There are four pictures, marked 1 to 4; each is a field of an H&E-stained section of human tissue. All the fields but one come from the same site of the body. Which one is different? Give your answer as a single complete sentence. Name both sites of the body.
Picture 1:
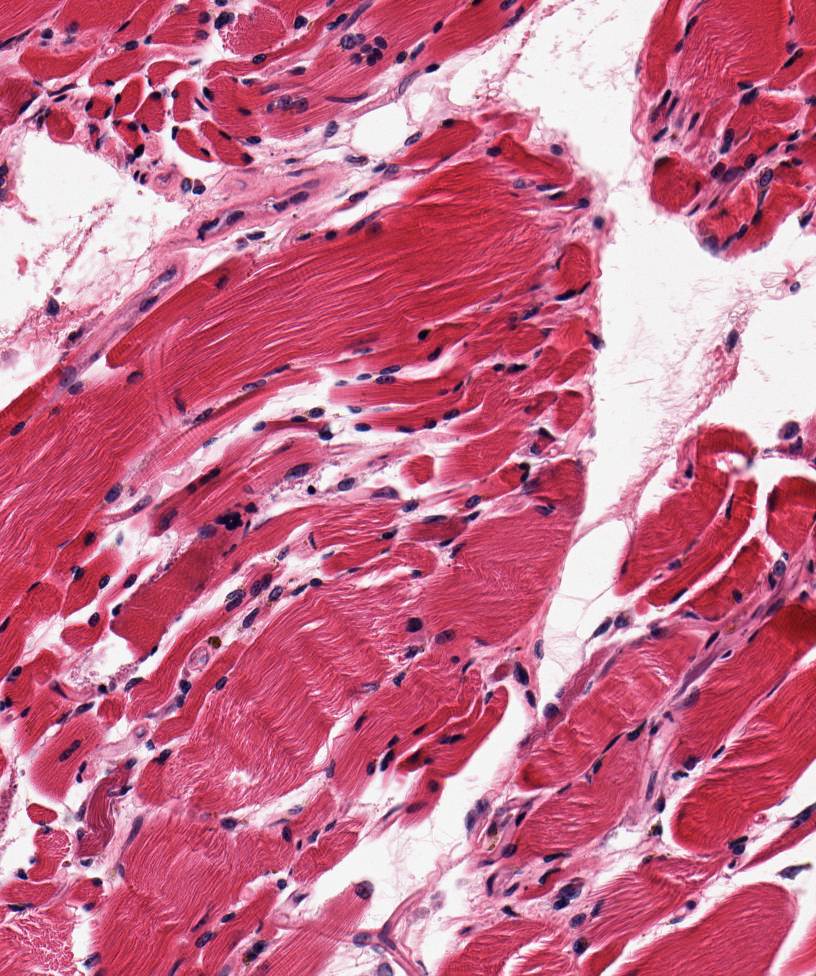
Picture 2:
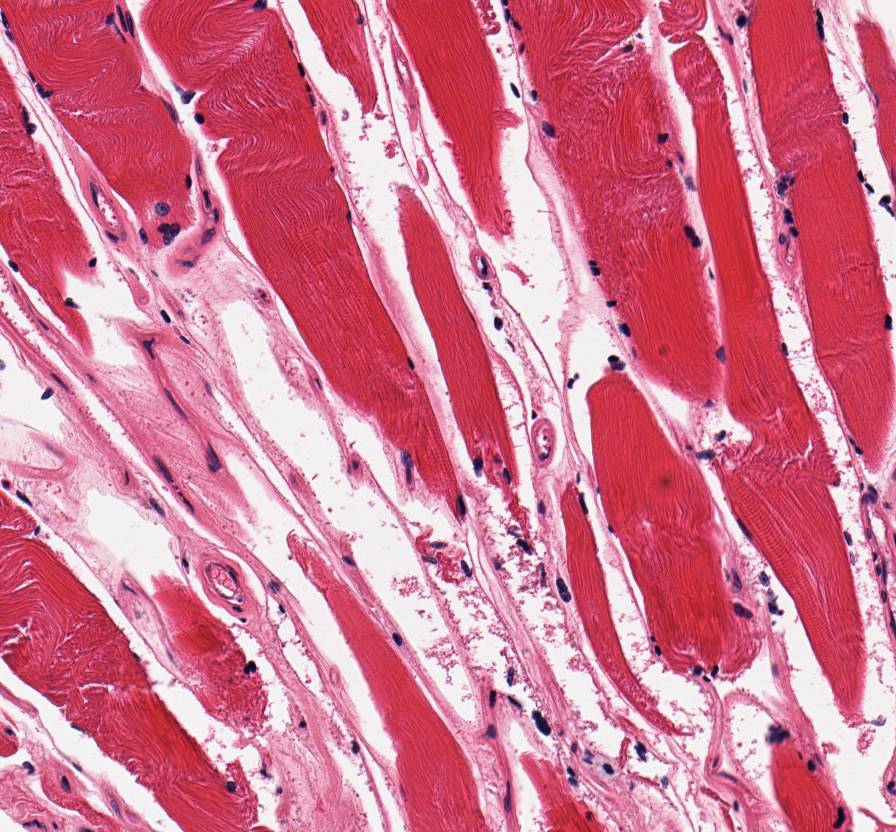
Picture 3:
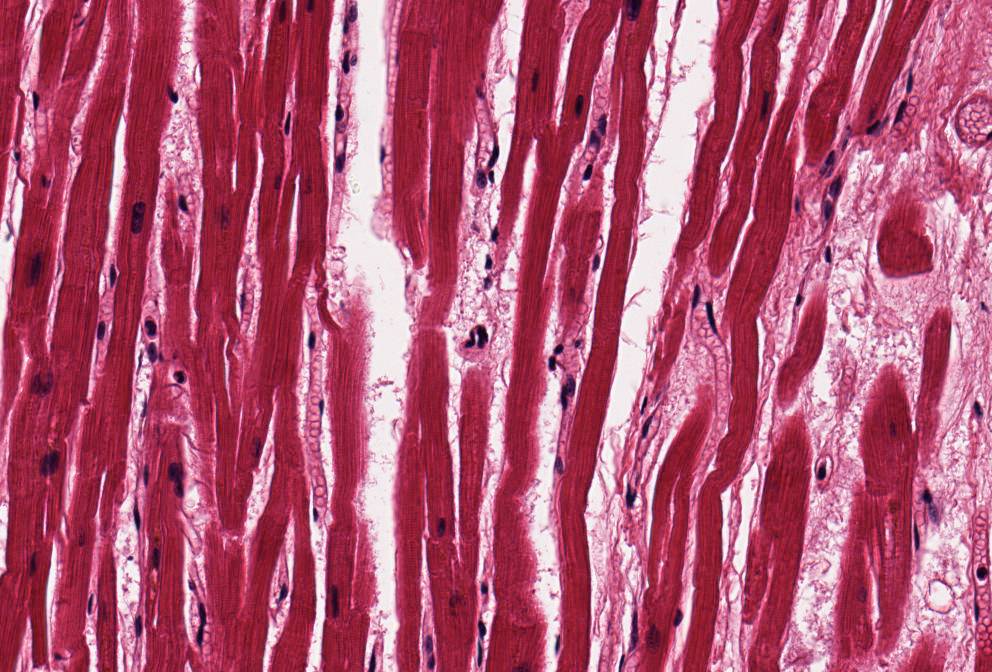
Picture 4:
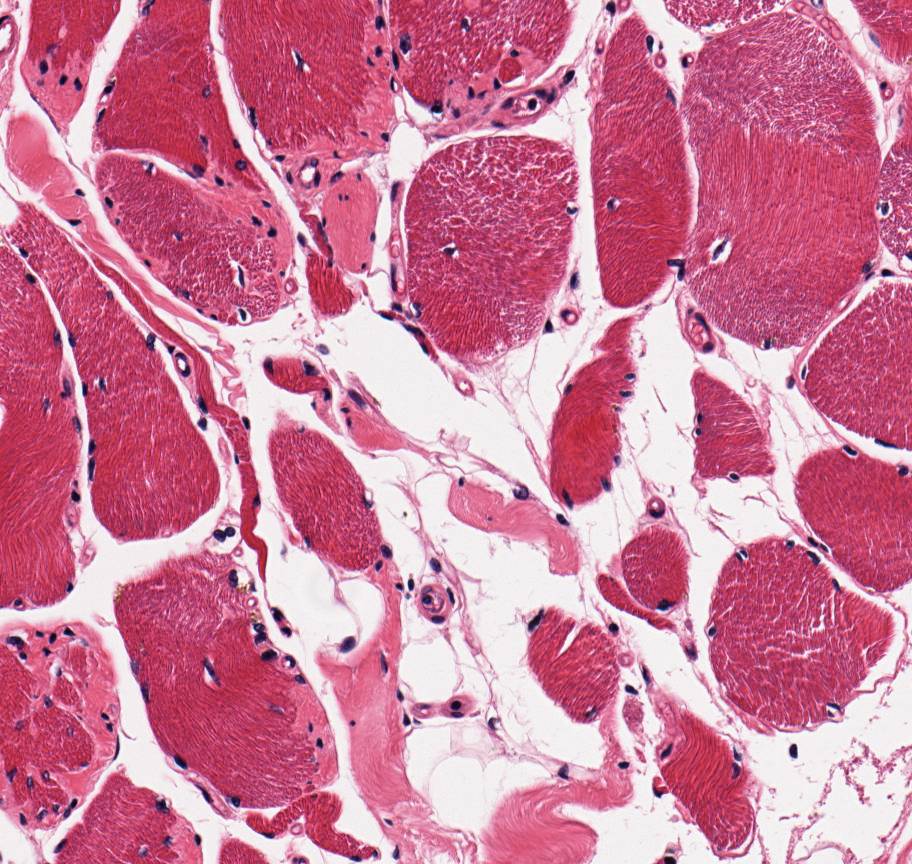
Unlike the rest, which come from skeletal muscle, picture 3 comes from the atrial appendage of the heart.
